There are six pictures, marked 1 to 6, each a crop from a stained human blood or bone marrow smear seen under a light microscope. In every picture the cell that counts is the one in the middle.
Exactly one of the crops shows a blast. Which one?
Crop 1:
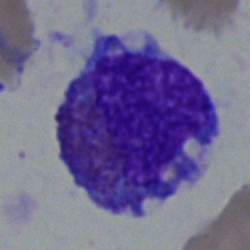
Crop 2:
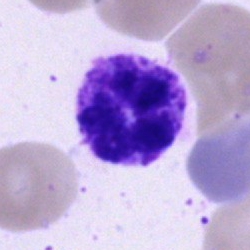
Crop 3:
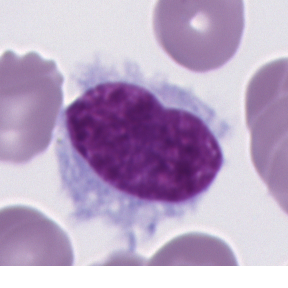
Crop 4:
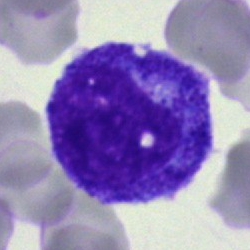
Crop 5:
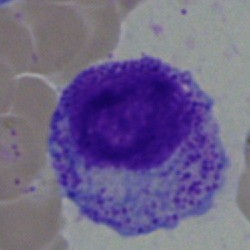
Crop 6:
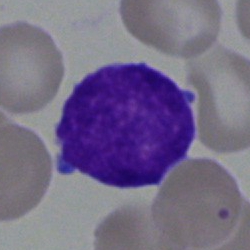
6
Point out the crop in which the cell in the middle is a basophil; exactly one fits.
2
